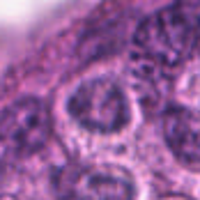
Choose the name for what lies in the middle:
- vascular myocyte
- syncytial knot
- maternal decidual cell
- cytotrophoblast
cytotrophoblast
